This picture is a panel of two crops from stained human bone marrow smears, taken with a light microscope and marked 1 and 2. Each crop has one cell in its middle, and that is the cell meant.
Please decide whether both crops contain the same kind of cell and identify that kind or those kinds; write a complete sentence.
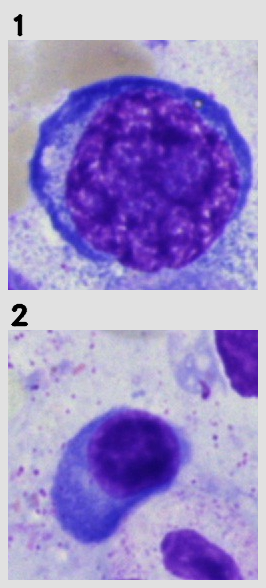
No, the cell of interest in crop 1 is a proerythroblast, and in crop 2 it is a plasma cell.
